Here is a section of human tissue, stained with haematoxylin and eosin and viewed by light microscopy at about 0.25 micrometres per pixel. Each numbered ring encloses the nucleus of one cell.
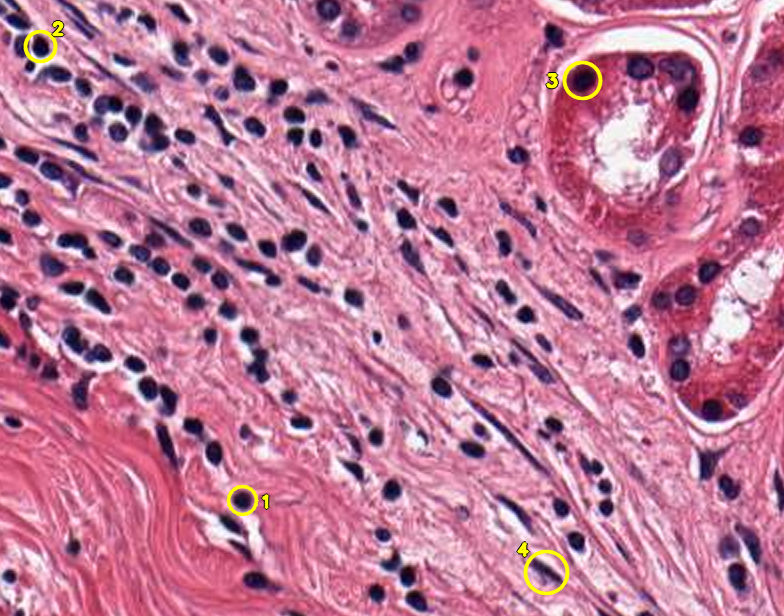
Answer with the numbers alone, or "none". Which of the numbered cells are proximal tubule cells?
3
